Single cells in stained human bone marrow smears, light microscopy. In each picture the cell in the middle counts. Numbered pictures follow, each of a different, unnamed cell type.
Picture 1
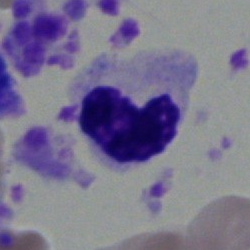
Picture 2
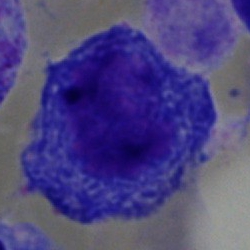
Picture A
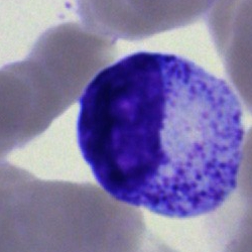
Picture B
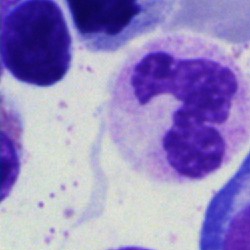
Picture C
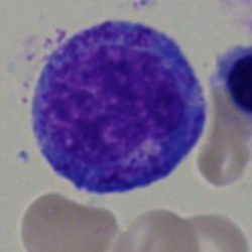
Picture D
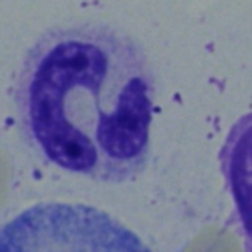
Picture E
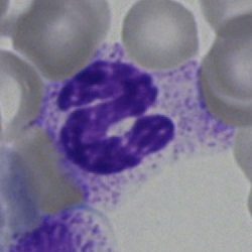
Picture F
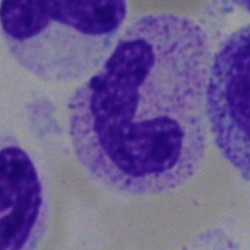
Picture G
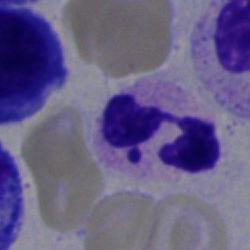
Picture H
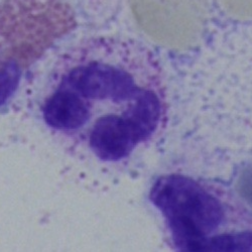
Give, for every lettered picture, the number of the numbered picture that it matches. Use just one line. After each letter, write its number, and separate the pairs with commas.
A 2, B 1, C 2, D 1, E 1, F 1, G 1, H 1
